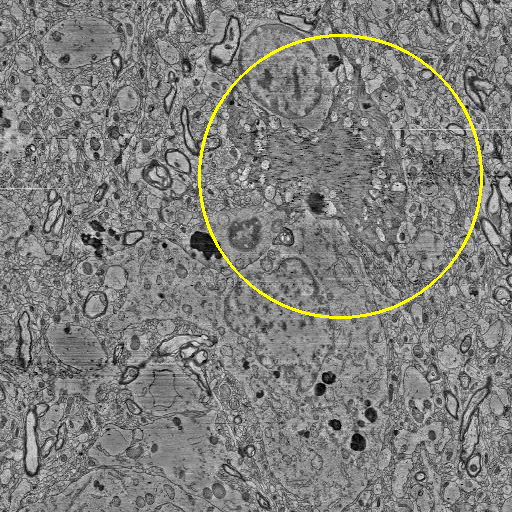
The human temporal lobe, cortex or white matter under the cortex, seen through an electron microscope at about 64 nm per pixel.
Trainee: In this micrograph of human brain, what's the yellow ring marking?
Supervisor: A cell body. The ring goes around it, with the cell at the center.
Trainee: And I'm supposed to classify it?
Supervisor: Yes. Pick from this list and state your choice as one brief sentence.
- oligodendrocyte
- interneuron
The cell at the ring's center is an interneuron.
